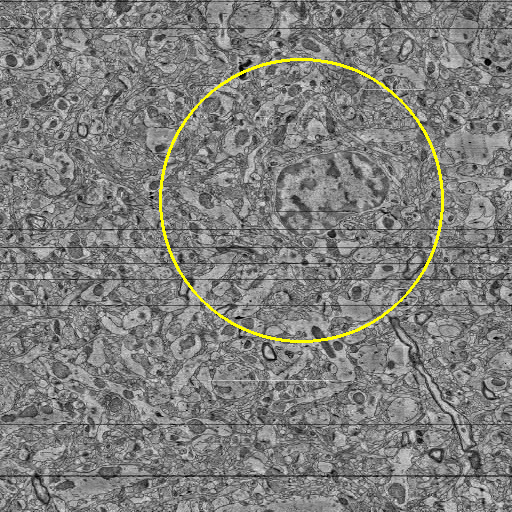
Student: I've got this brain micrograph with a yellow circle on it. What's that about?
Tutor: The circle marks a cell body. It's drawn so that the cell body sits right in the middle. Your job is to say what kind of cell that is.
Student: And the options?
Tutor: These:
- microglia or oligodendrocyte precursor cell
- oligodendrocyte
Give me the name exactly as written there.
microglia or oligodendrocyte precursor cell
